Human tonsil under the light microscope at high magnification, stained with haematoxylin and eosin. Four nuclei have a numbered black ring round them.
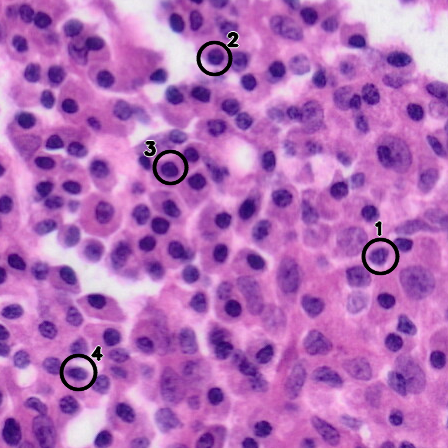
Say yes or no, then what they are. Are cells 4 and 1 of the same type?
No, cell 4 is a plasma cell and cell 1 is a squamous epithelial cell.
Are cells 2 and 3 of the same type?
Yes, both are plasma cells.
